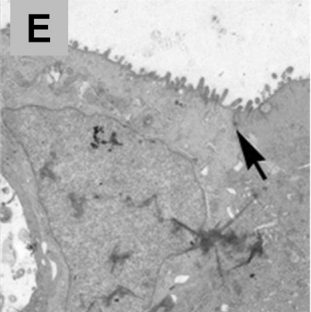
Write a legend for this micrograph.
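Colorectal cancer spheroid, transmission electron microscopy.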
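Slender finger-like microvilli project from the free apical surface into the lumen above. An arrow marks a dense contact between neighbouring cell membranes just below the apical surface. The nucleus has finely granular chromatin with a few dense clumps. Vacuolated material lies at the lower left edge.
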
